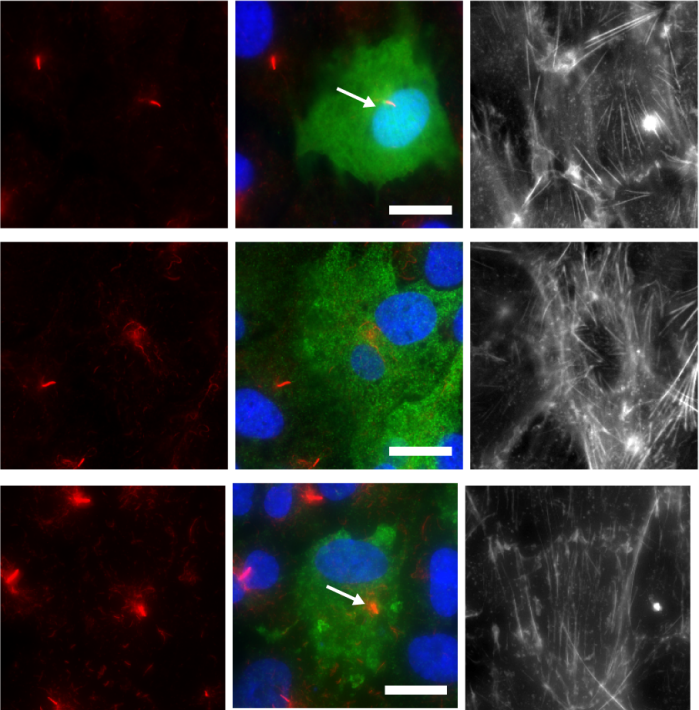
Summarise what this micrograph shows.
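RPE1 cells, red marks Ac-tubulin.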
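These are cultured flat cells seen from above, each with a round to oval blue nucleus, and some of them filled with a diffuse green cytoplasmic signal that outlines the cell body. In the red images, short single rod-like primary cilia stand out here and there, and in the merged images a white arrow points to one such short red rod sitting right beside a nucleus.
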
